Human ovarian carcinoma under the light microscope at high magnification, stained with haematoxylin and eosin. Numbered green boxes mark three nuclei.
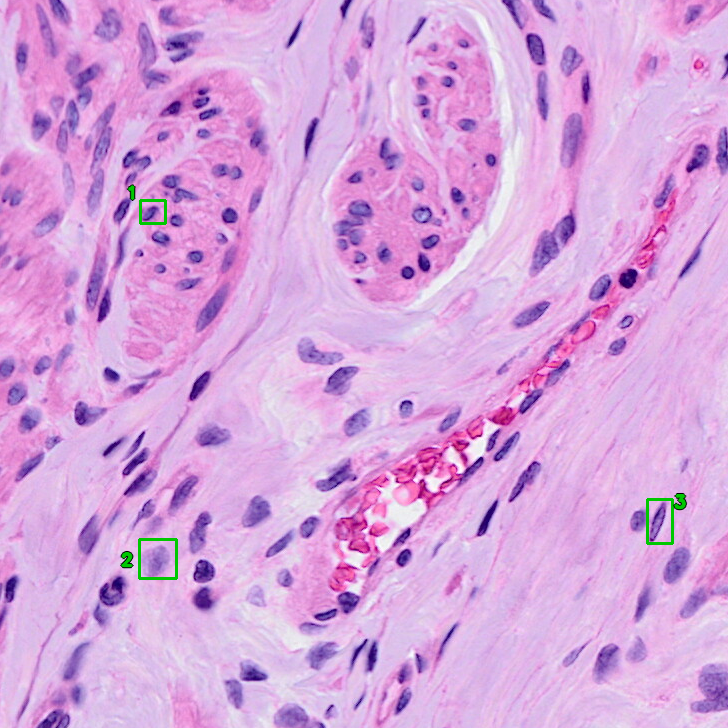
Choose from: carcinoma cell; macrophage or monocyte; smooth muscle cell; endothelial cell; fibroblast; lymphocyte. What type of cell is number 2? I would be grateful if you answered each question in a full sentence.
The nucleus labelled 2 belongs to a fibroblast.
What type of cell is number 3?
In this section, number 3 marks a fibroblast.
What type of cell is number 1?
Belonging to a smooth muscle cell is the nucleus that carries the number 1.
